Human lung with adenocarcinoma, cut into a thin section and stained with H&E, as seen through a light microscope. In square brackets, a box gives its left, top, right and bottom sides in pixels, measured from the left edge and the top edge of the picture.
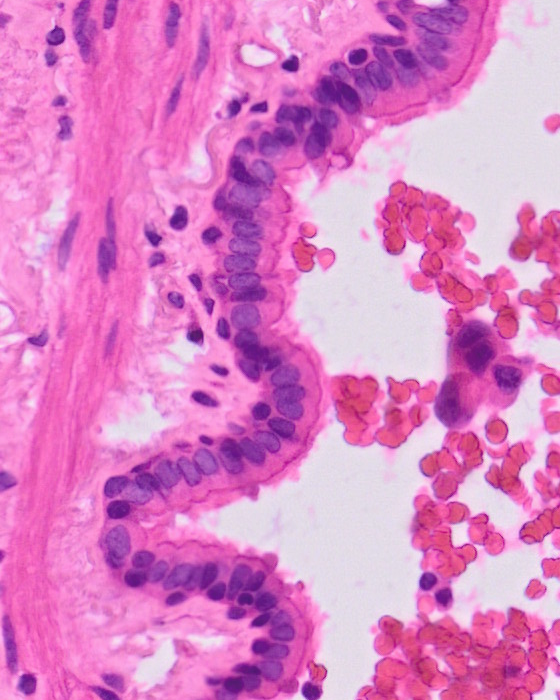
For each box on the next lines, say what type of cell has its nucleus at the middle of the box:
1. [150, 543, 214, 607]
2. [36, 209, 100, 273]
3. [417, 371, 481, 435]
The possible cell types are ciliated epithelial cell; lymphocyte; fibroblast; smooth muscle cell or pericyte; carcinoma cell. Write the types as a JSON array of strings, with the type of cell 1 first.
["ciliated epithelial cell", "smooth muscle cell or pericyte", "carcinoma cell"]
